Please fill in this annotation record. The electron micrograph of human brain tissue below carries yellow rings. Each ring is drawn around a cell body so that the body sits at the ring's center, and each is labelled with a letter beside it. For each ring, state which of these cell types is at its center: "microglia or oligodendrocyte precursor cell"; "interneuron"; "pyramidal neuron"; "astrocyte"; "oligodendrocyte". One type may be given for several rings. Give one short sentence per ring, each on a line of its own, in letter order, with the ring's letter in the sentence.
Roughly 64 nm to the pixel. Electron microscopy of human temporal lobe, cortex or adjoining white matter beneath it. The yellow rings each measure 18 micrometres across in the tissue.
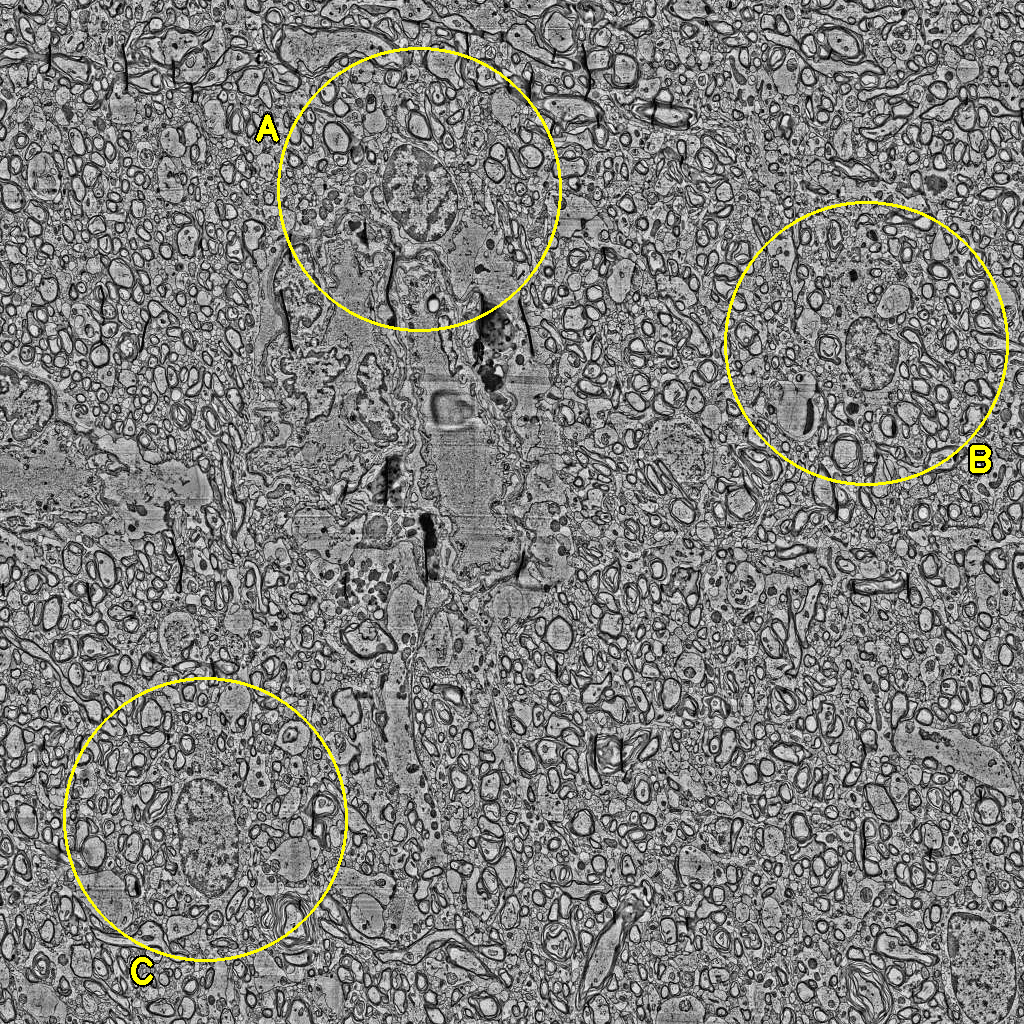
Ring A is drawn around a microglial cell or oligodendrocyte precursor cell.
Ring B is drawn around an oligodendrocyte.
Ring C is drawn around an oligodendrocyte.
